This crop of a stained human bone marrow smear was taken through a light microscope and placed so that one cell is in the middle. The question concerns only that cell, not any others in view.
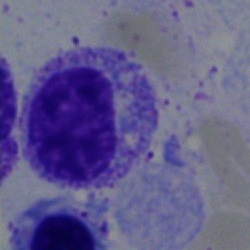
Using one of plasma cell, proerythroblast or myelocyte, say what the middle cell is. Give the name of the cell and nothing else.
myelocyte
